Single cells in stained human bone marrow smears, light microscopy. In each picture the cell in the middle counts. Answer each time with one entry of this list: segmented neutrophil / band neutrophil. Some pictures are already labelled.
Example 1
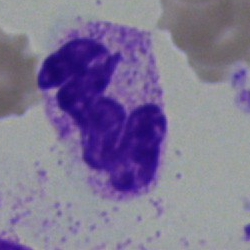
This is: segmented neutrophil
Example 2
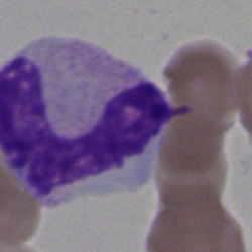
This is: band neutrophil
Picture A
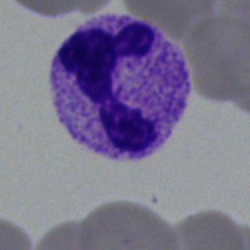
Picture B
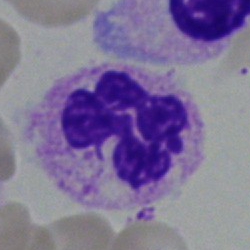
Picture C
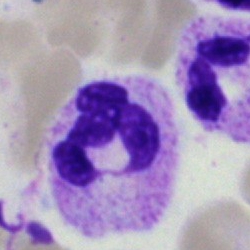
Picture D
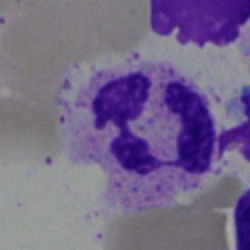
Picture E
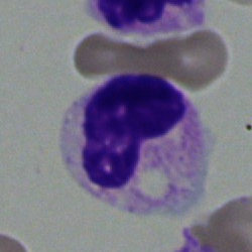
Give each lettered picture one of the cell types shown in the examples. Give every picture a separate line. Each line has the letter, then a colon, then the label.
A: segmented neutrophil
B: segmented neutrophil
C: segmented neutrophil
D: segmented neutrophil
E: band neutrophil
